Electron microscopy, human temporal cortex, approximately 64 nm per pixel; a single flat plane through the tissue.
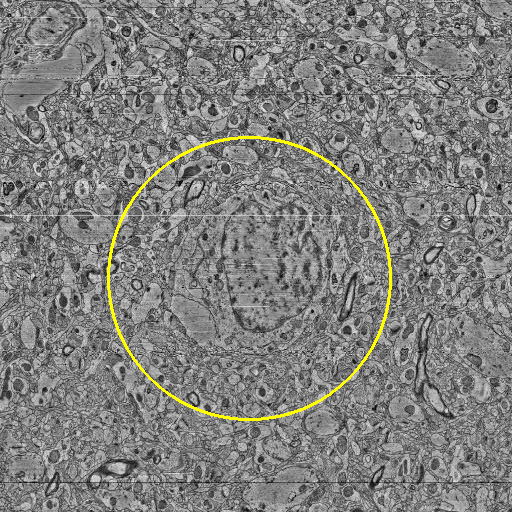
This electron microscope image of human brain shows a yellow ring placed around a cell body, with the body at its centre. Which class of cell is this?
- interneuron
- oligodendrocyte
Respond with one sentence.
The cell body at the ring's centre is an interneuron.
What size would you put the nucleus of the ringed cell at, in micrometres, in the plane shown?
The nucleus works out at approximately 9 by 7 micrometres in this plane.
